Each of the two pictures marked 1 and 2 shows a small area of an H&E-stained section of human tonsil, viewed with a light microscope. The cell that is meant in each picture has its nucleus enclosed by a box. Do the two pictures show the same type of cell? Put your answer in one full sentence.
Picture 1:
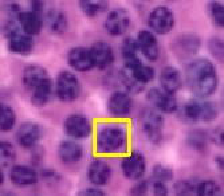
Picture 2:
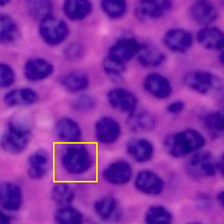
Yes, both are plasma cells.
